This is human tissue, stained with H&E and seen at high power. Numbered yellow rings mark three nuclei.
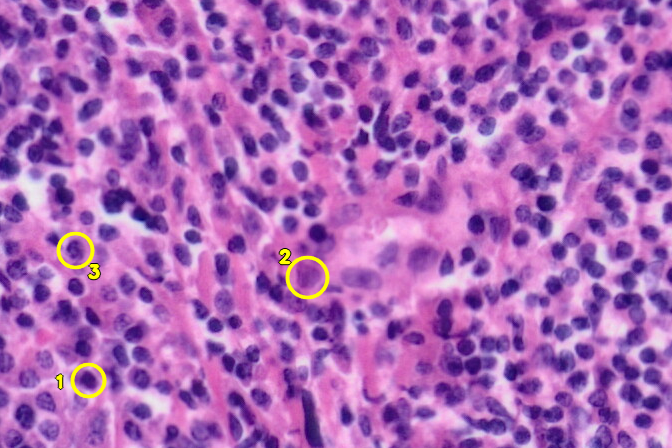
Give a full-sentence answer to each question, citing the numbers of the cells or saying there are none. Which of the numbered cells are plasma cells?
Identified as plasma cells are the cells numbered 1 and 3.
